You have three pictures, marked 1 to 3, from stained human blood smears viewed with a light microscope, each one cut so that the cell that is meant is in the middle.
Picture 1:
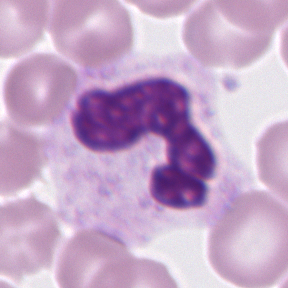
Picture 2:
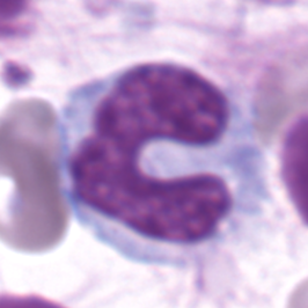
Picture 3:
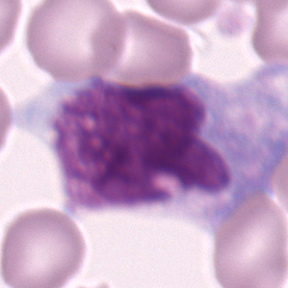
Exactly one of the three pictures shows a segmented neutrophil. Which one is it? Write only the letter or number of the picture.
1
